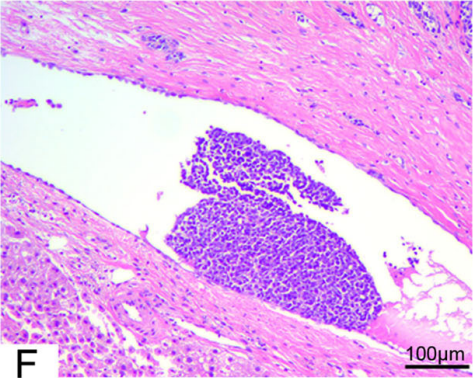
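A vessel containing a tumor embolus is seen within pink fibrous tissue. The vessel forms a long, open, pale lumen bounded by a thin wall, and around it lie wavy bands of pink fibrous tissue with scattered elongated nuclei. Inside the lumen sits a compact oval clump of densely packed tumor cells with dark blue-purple nuclei and little cytoplasm, with a smaller fragment of similar cells detached just above it. Pale, faintly fibrillar material lies at one end of the lumen next to the clump.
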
